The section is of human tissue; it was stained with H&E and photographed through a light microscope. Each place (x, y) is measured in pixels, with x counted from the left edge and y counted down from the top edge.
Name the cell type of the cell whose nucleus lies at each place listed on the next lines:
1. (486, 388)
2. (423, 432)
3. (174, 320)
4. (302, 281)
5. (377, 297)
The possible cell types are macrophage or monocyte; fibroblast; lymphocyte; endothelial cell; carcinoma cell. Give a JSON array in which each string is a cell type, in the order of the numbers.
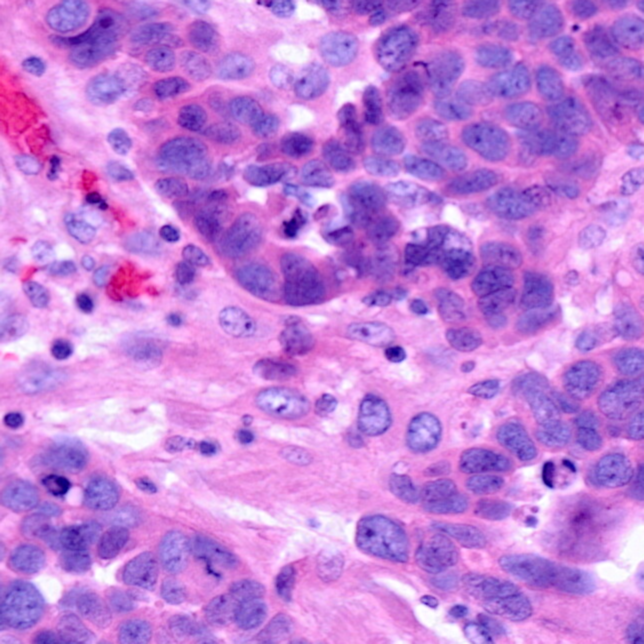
["macrophage or monocyte", "fibroblast", "lymphocyte", "carcinoma cell", "macrophage or monocyte"]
